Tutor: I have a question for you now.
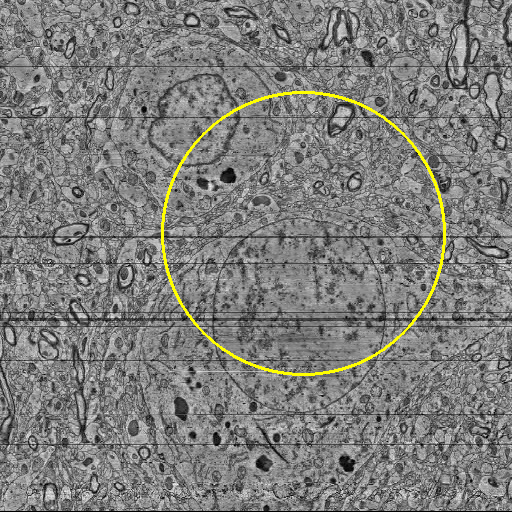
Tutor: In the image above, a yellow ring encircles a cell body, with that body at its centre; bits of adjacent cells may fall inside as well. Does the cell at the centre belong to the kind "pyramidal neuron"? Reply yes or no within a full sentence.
Yes, the cell at the centre of the yellow ring in the picture is of that kind.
